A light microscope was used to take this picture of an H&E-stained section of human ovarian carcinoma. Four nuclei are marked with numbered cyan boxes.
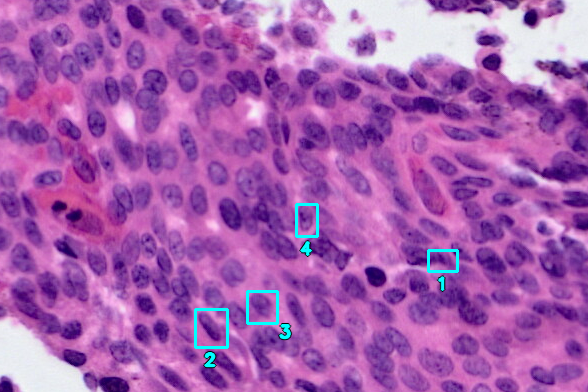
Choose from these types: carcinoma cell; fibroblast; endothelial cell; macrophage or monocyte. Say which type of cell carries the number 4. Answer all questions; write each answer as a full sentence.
In this section, the cell numbered 4 is a macrophage or monocyte.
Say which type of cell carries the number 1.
The marked nucleus 1 is that of a carcinoma cell.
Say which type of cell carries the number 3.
The marked cell with the number 3 is recognised as a carcinoma cell.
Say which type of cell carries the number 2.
Cell 2 in the field is a carcinoma cell.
